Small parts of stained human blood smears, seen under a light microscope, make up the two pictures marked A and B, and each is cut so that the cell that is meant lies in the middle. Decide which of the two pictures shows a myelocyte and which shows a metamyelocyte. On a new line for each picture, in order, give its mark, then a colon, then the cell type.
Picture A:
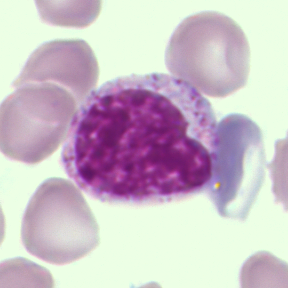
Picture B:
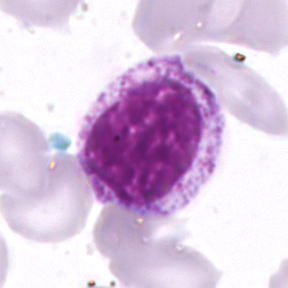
A: metamyelocyte
B: myelocyte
